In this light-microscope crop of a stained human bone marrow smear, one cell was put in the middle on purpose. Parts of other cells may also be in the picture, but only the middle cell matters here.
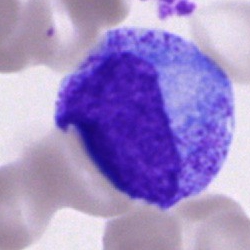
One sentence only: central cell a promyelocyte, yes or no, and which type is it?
Yes, shown in the middle of the crop is a promyelocyte.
